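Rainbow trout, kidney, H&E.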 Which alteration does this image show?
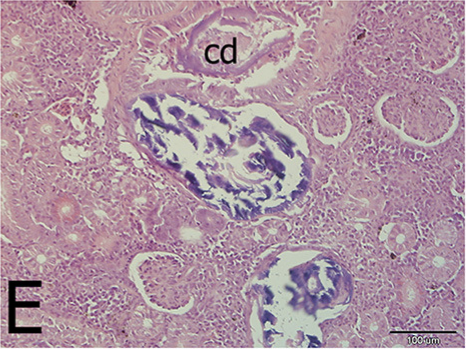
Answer: Mineralized luminal content.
